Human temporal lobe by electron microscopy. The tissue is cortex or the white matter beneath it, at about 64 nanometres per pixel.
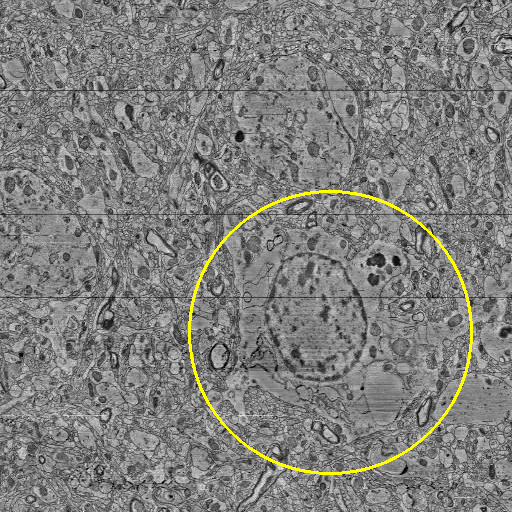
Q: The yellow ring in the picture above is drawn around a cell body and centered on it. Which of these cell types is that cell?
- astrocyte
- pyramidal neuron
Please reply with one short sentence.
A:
The cell body at the ring's center belongs to an astrocyte.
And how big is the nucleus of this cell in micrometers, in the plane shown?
In this plane the nucleus measures roughly 9 by 6 micrometres.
